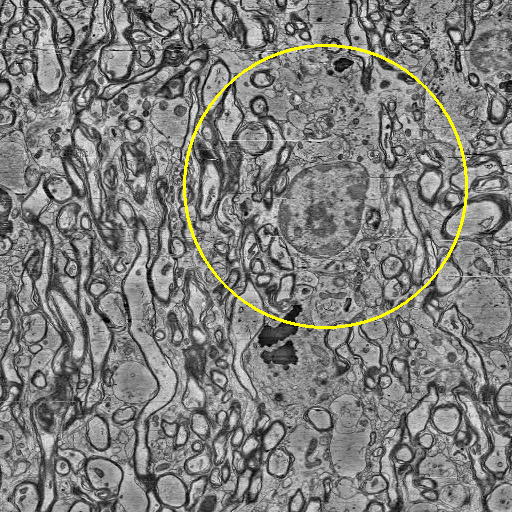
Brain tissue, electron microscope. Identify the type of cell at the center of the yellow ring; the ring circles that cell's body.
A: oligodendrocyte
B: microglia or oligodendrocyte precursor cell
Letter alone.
B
